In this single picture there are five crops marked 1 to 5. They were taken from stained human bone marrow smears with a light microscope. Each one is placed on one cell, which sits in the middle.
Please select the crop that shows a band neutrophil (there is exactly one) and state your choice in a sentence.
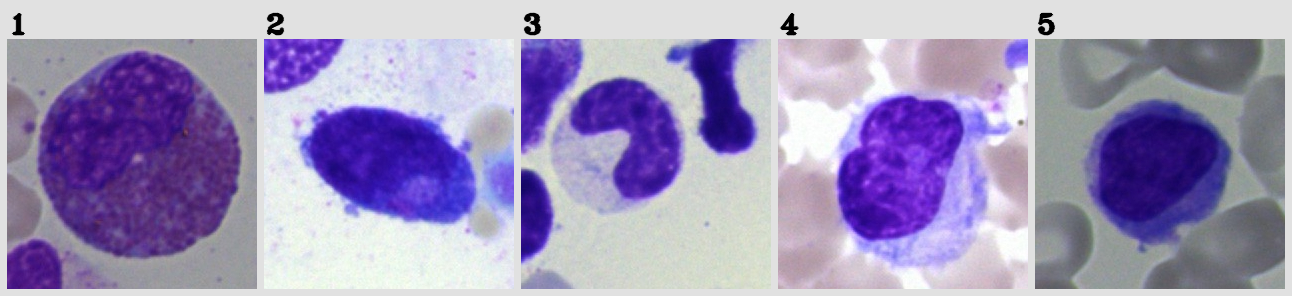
It is in crop 3, among all the crops, that a band neutrophil is present.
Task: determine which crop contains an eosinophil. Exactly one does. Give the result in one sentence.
The crop carrying an eosinophil at the center is crop 1.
